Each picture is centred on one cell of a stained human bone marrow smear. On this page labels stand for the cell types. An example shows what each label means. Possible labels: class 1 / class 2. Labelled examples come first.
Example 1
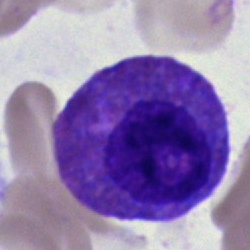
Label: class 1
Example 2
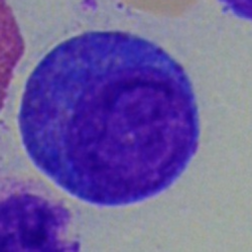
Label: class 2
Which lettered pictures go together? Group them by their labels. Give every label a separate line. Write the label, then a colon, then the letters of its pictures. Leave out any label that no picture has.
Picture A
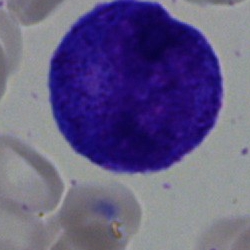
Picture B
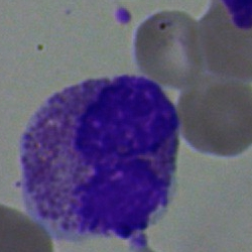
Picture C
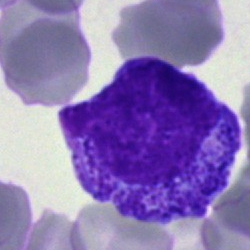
class 1: B
class 2: A, C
